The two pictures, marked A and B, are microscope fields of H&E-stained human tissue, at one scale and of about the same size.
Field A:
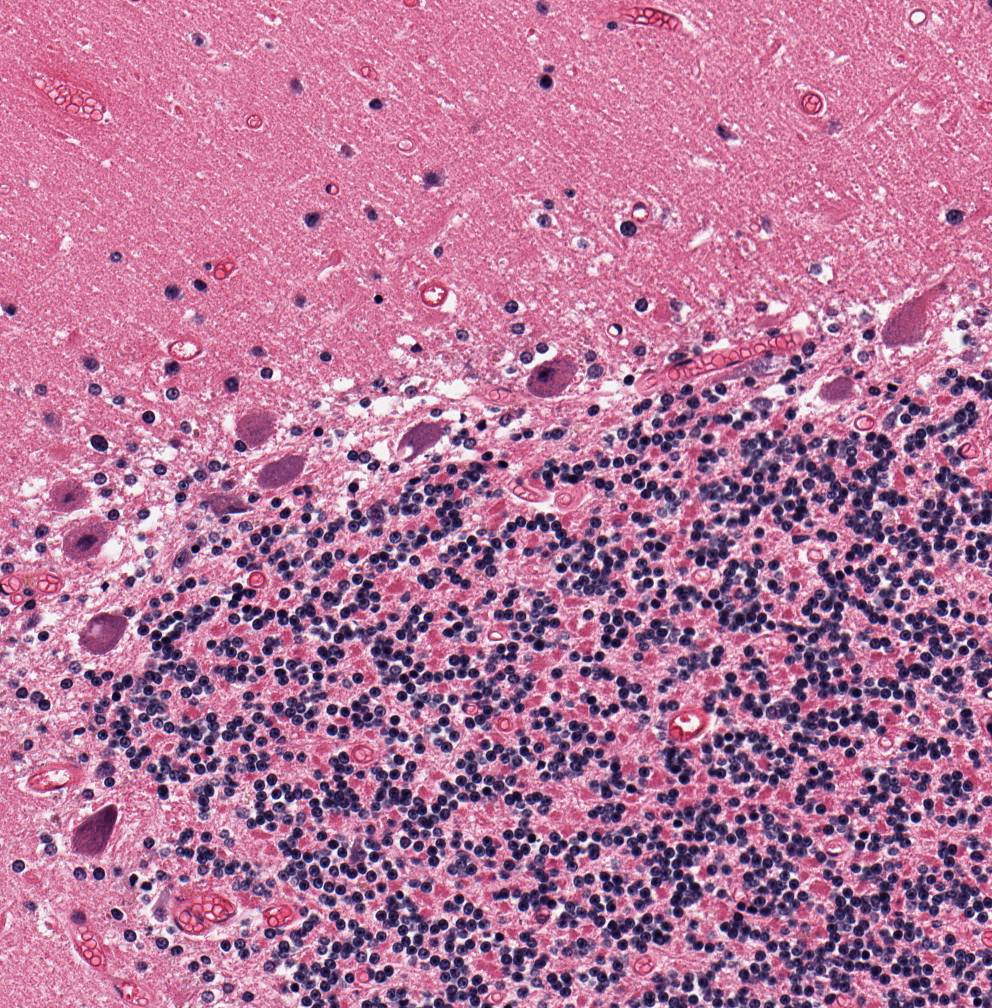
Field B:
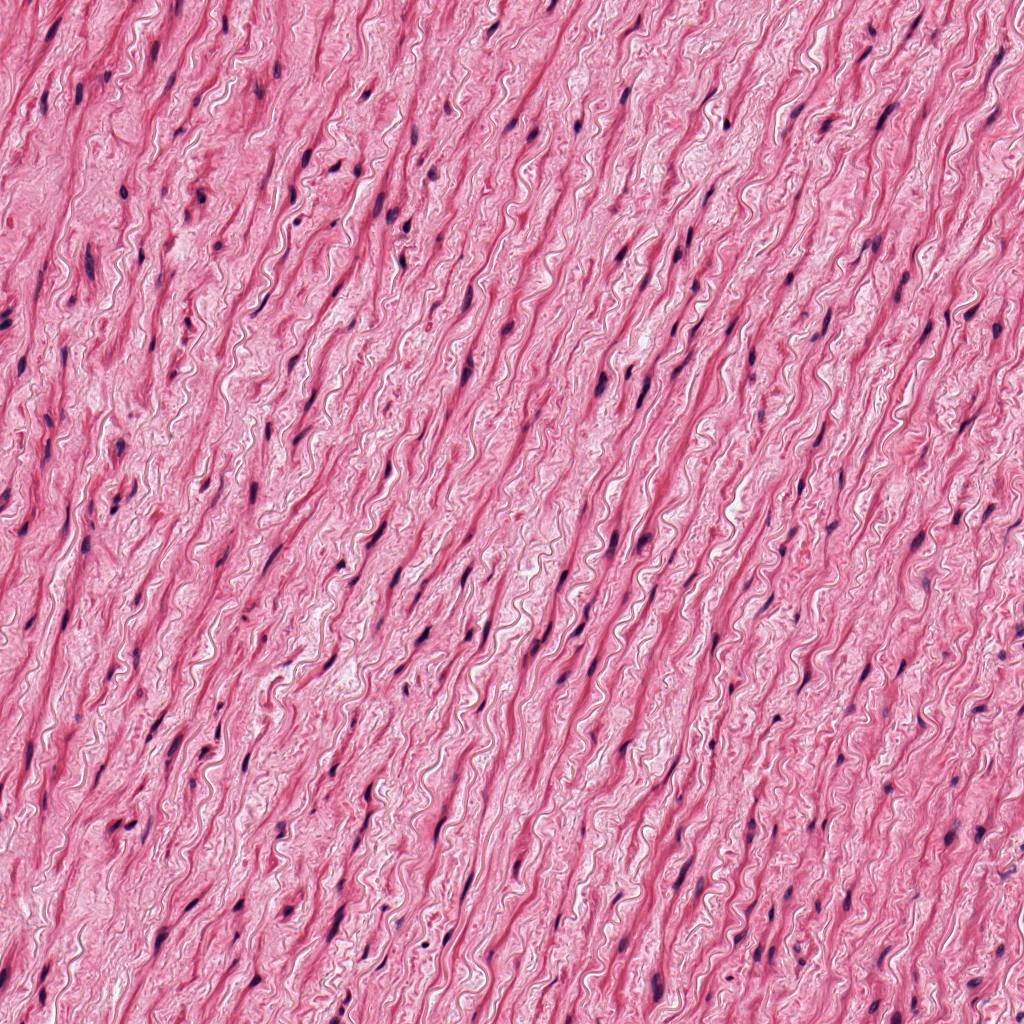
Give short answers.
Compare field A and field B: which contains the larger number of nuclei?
A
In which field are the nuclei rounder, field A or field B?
A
